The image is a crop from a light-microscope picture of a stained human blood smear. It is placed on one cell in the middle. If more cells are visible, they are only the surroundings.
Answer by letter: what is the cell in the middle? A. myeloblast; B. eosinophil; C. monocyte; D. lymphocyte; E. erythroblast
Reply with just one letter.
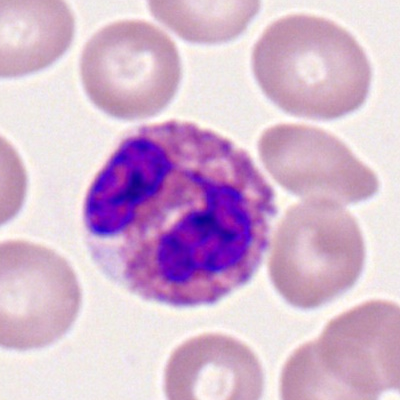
B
